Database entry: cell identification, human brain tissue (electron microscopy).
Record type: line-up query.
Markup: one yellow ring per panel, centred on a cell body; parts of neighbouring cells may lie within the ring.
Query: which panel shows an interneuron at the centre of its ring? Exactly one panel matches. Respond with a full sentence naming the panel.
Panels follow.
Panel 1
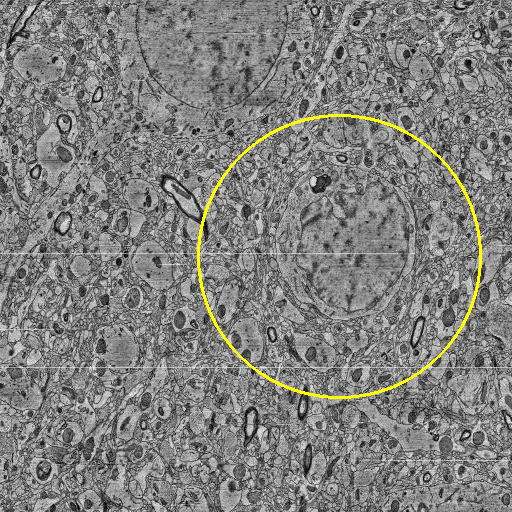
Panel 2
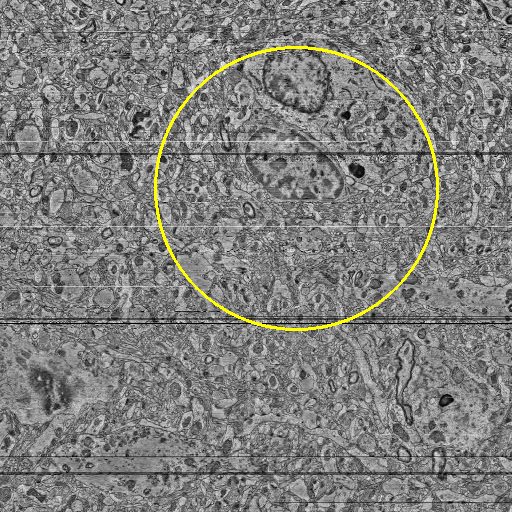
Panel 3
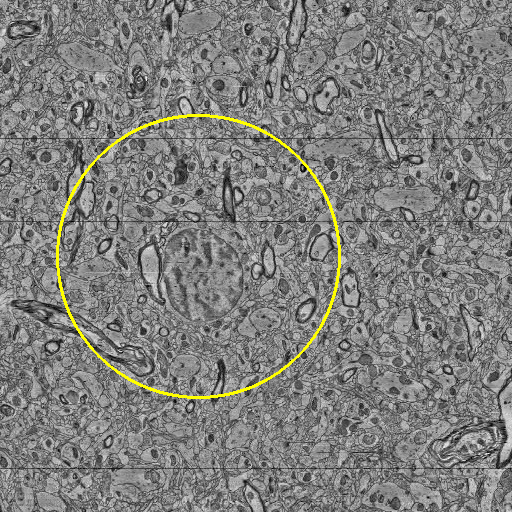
Panel 1 shows it at the centre of the ring.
